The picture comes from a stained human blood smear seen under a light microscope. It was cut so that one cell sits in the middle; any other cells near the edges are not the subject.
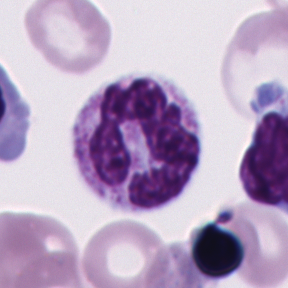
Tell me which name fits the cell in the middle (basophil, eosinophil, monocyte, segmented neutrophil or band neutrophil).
segmented neutrophil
